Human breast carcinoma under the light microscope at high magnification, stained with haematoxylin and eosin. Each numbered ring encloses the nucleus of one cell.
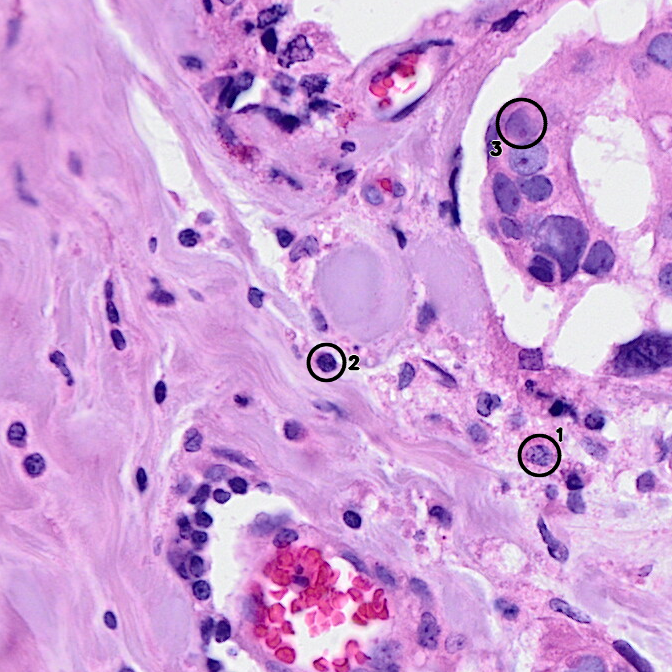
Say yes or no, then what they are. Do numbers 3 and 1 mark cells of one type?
No, cell number 3 is a carcinoma cell and cell number 1 is a mast cell.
